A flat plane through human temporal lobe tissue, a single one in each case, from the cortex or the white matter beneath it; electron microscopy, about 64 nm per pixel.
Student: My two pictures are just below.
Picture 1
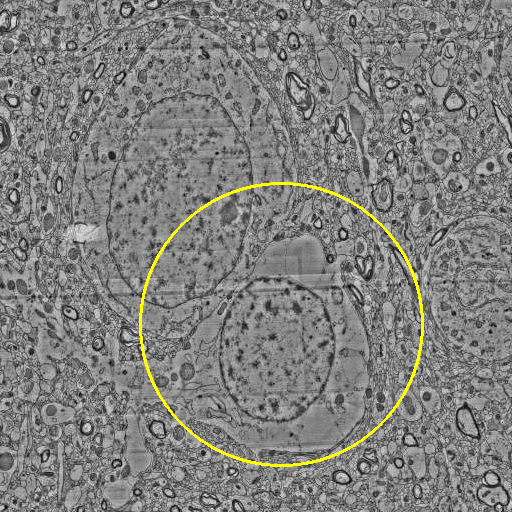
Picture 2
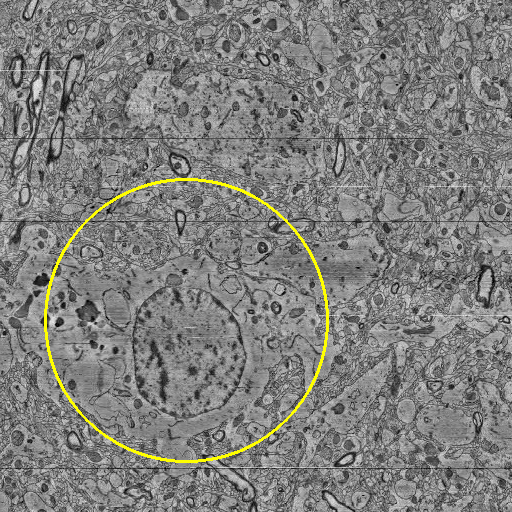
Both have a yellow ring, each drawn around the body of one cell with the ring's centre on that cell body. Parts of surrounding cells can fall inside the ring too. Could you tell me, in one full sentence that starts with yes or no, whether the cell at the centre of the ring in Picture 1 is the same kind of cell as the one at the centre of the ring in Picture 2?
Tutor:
Yes, the two cells are of the same kind.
